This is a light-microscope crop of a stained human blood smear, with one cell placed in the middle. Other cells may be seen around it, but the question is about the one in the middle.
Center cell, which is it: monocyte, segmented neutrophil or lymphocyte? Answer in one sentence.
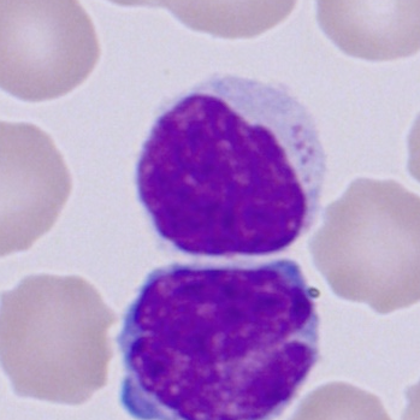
Regarding the central cell, it is a lymphocyte.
